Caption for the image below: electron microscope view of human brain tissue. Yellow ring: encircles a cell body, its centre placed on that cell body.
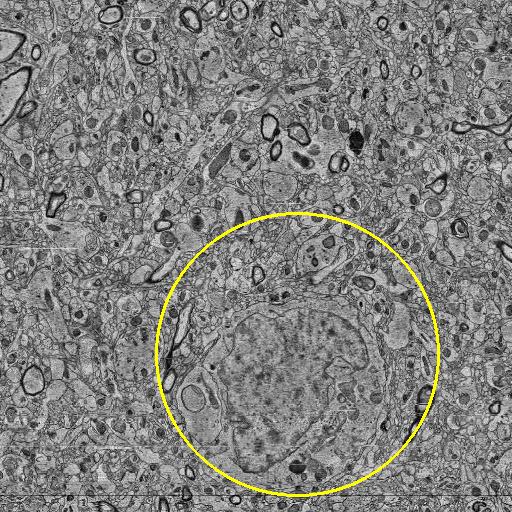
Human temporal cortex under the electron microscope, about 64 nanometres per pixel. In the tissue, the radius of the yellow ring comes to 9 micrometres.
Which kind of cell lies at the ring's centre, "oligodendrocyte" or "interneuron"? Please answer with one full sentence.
The picture shows an interneuron at the centre of the yellow ring.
